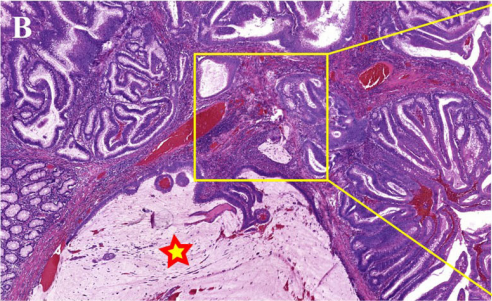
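This low-power view of a colonic adenoma shows the area of epithelial misplacement within the polyp. Complex, folded dysplastic glands with dark crowded nuclei fill the upper part, while a large pale pink pool of mucin occupies the lower middle. Bands of pink stroma with red vessels separate the groups of glands, and a few regular, round non-dysplastic crypts are seen at the lower left.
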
